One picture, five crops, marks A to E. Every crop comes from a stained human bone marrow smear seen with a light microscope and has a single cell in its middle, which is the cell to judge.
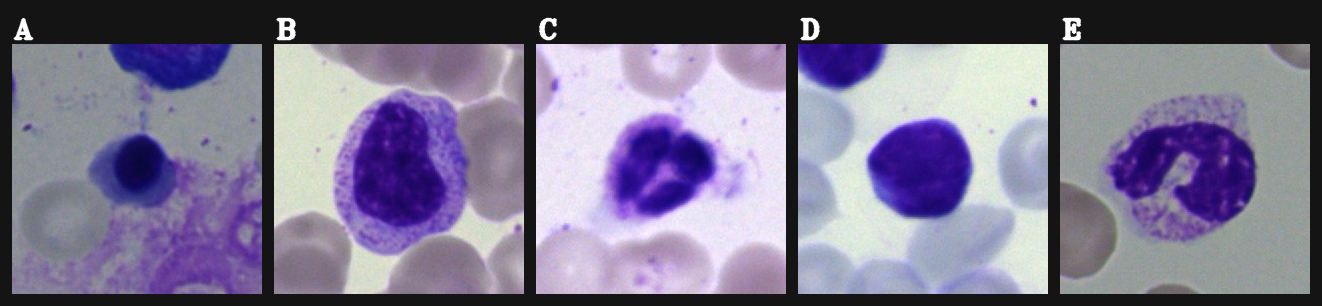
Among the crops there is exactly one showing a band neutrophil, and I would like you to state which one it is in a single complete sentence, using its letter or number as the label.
Only in crop E is a band neutrophil shown.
